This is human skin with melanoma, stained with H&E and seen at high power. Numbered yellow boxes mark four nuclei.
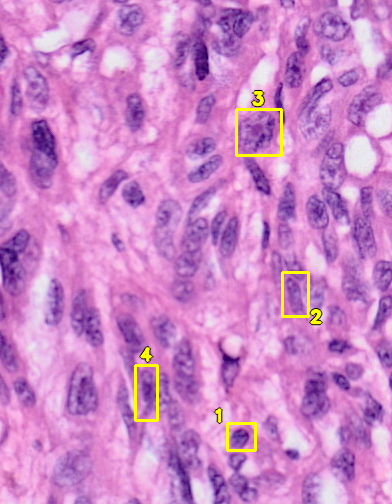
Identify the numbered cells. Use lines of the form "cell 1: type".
cell 1: lymphocyte
cell 2: melanoma cell
cell 3: melanoma cell
cell 4: melanoma cell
